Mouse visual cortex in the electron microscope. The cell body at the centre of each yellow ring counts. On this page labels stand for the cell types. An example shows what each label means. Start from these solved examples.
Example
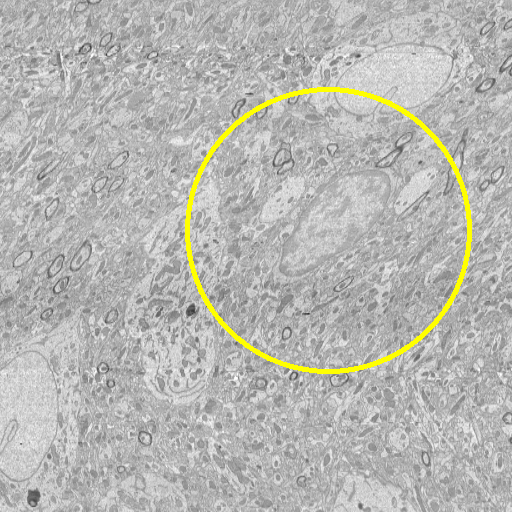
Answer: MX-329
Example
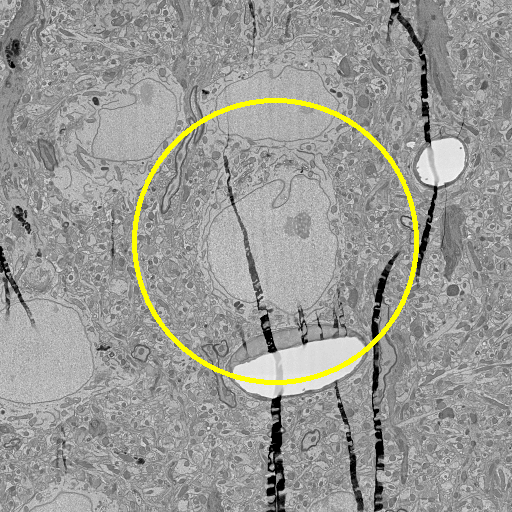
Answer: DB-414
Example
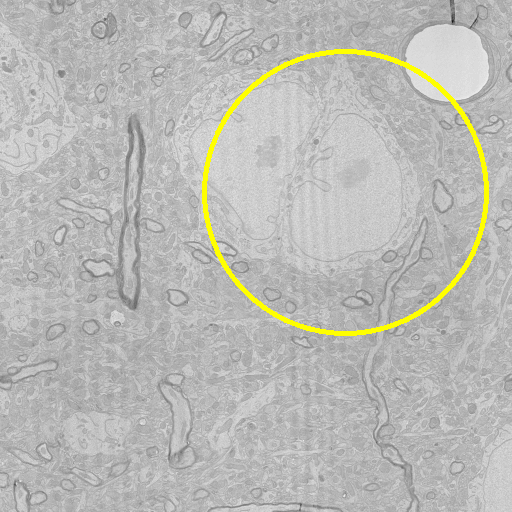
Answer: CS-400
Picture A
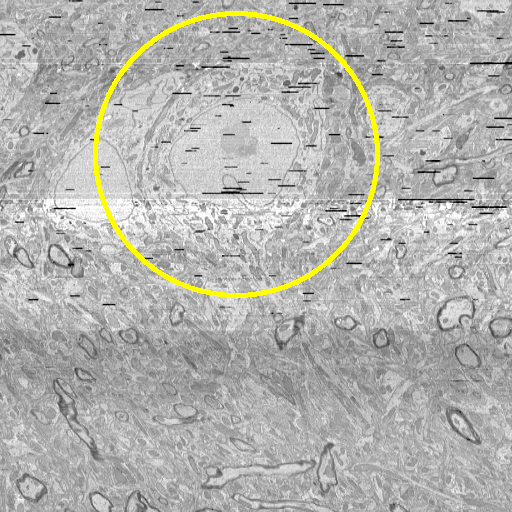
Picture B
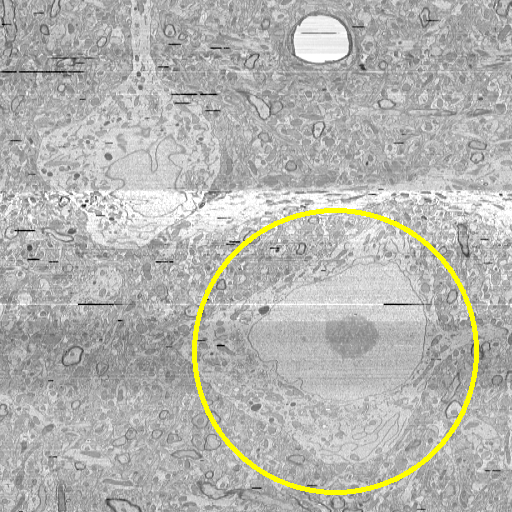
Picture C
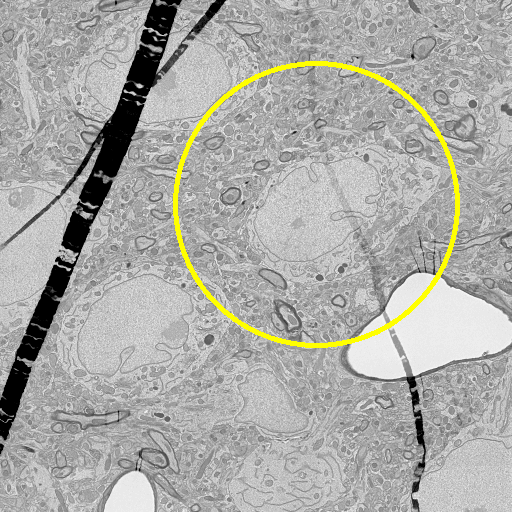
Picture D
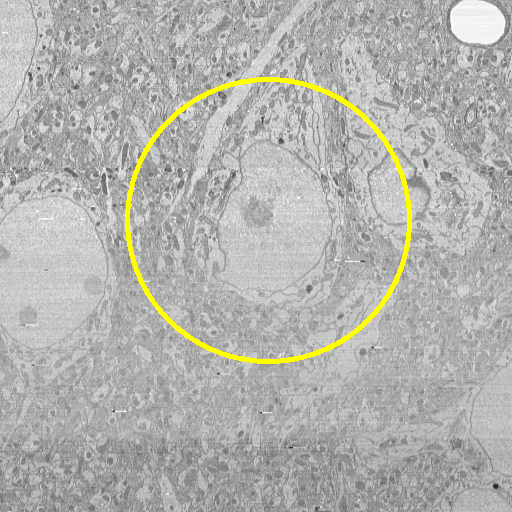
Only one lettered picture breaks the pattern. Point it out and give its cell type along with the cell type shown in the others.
Picture B: CS-400. All others: DB-414.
